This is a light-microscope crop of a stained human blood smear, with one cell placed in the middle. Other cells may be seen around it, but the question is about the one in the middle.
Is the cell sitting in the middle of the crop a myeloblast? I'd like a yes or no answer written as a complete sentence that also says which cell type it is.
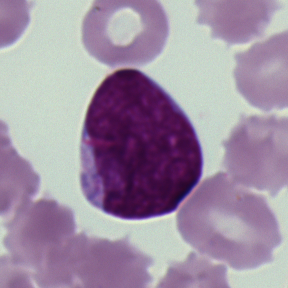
Yes, in this crop the cell in the middle is a myeloblast.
